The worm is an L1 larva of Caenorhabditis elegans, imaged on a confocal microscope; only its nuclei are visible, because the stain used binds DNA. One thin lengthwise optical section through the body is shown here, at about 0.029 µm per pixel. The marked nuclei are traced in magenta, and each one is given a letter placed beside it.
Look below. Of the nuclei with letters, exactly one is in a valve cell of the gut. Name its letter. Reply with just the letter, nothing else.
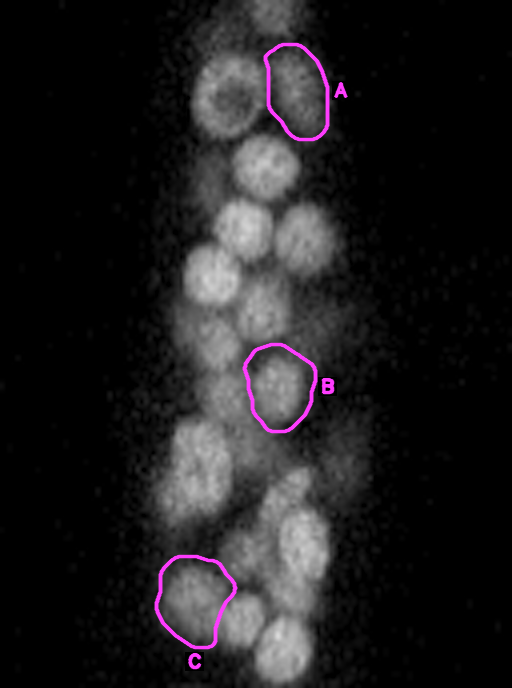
C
